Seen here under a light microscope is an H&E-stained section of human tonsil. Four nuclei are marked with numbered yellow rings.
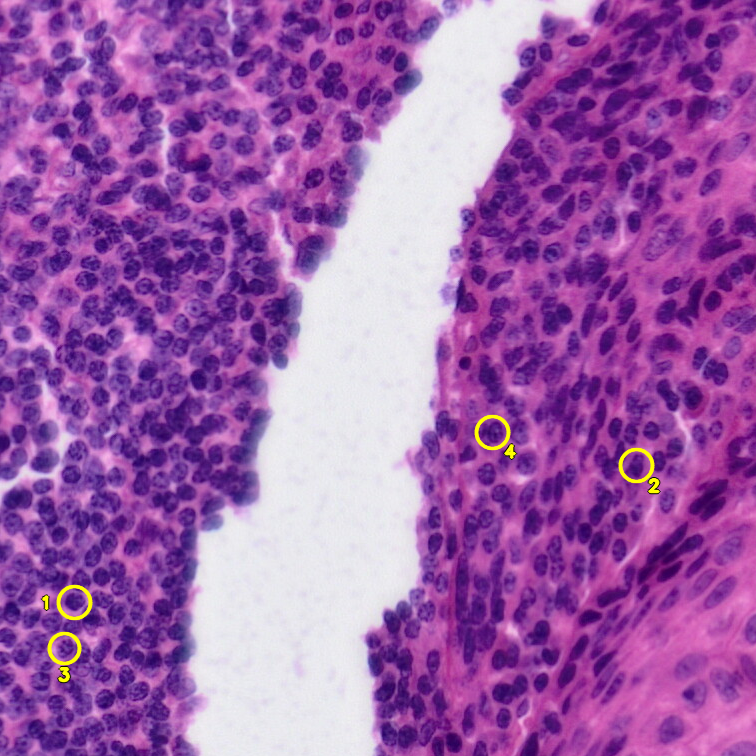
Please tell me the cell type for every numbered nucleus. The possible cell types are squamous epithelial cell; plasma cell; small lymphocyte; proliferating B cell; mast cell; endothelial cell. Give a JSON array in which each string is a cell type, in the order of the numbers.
["small lymphocyte", "plasma cell", "small lymphocyte", "plasma cell"]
